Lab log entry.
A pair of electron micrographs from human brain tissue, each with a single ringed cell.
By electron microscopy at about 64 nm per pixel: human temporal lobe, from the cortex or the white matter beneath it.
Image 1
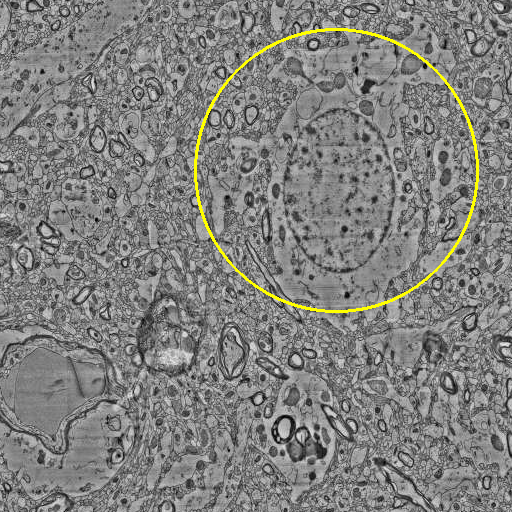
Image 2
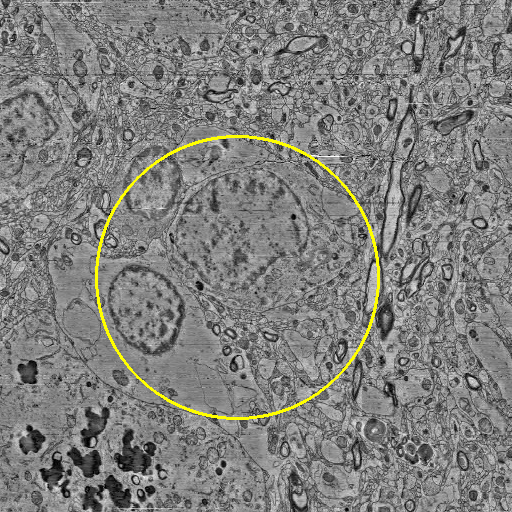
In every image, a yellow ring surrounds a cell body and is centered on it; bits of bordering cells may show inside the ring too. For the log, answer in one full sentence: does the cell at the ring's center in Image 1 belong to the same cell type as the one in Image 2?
No, the cells at the ring centers in Image 1 and Image 2 are of separate types.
